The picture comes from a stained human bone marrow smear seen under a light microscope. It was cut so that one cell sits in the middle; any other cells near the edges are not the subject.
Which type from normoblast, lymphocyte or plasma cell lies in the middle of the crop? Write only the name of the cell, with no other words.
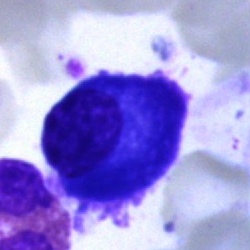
plasma cell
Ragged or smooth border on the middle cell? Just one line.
Rather than running smoothly, the cell border is ragged or carries projections.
